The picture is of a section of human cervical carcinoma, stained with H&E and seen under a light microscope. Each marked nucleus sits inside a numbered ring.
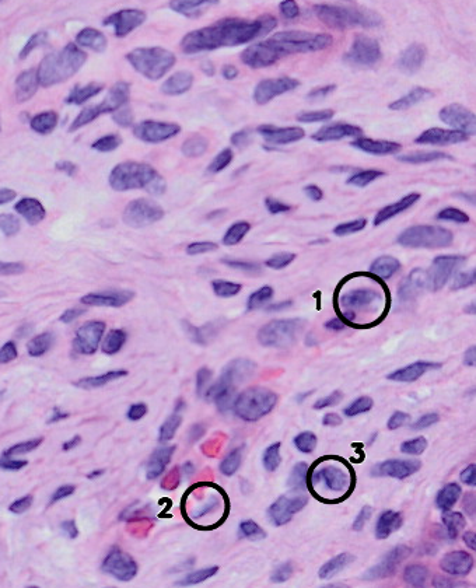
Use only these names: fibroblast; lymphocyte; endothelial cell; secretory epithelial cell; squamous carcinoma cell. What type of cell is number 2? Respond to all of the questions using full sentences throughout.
The cell with the number 2 is an endothelial cell.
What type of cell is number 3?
Cell 3, as marked in the section, is a fibroblast.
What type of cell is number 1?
The cell that goes by number 1 is an endothelial cell.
